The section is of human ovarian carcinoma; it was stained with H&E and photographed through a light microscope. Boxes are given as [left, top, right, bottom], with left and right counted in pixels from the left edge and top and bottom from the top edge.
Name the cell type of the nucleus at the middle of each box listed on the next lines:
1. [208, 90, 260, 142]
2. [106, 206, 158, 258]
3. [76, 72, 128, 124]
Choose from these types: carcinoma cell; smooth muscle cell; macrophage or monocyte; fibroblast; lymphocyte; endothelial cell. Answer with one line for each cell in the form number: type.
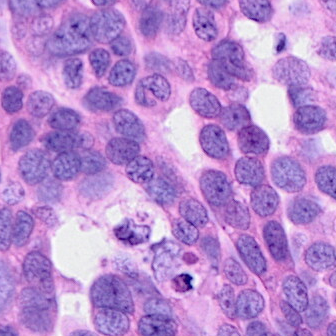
1: carcinoma cell
2: macrophage or monocyte
3: carcinoma cell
